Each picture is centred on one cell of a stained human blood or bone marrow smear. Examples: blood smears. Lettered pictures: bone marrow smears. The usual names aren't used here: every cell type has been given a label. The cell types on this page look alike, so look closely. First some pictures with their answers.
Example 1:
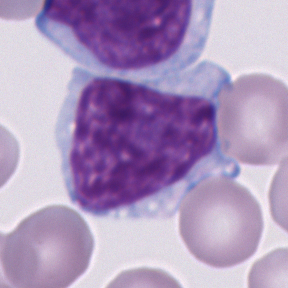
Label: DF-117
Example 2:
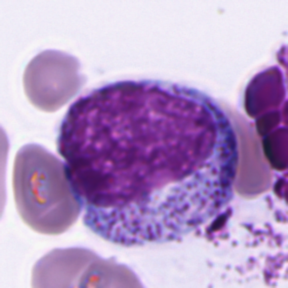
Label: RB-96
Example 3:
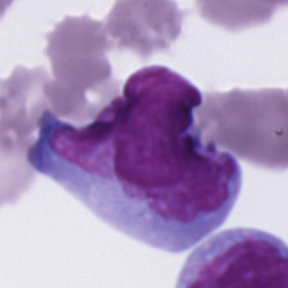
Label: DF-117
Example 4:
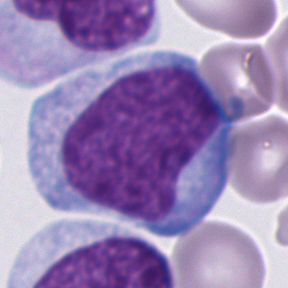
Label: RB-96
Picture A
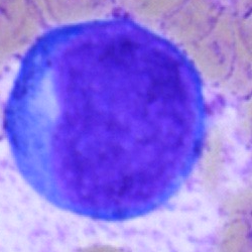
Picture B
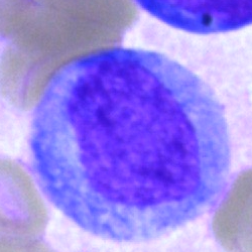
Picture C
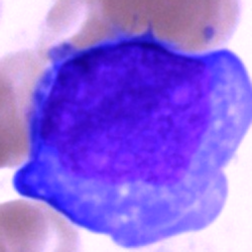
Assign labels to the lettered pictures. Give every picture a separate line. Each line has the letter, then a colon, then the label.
A: DF-117
B: RB-96
C: DF-117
